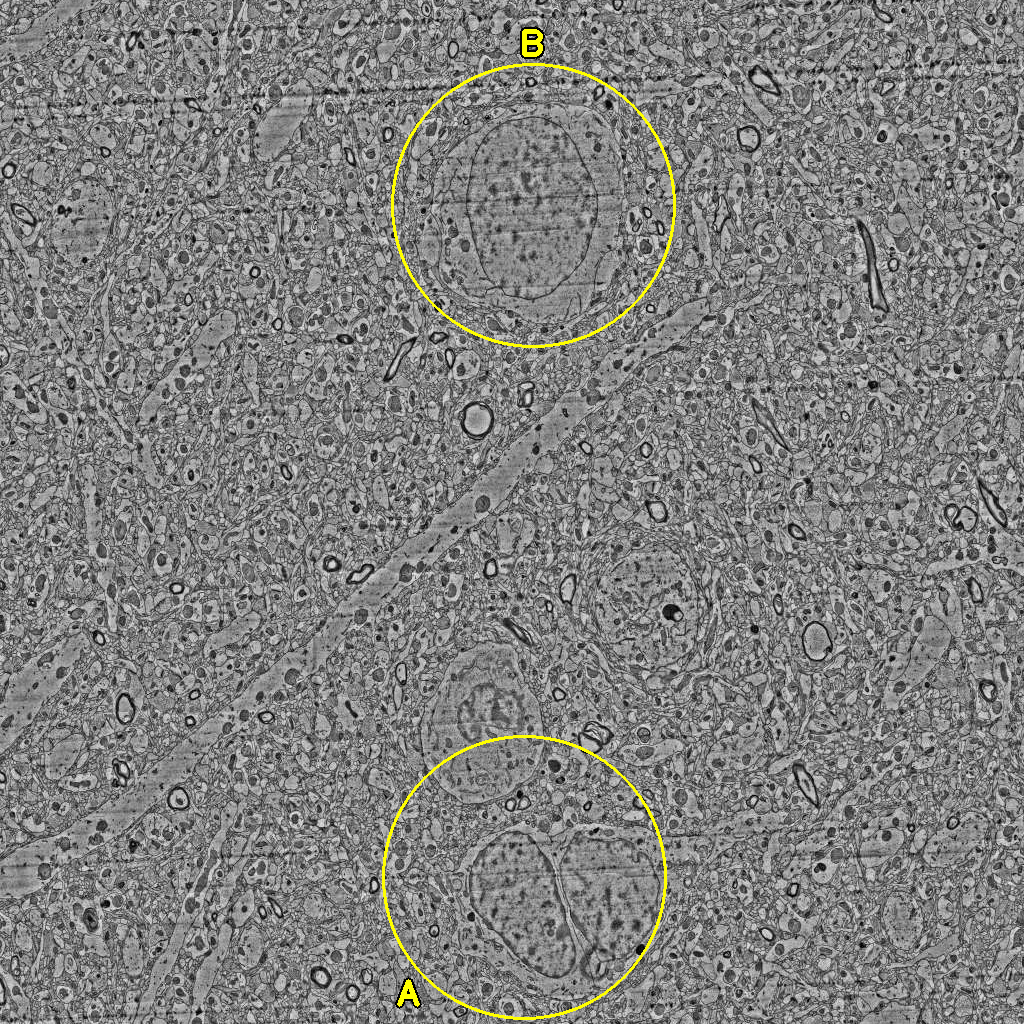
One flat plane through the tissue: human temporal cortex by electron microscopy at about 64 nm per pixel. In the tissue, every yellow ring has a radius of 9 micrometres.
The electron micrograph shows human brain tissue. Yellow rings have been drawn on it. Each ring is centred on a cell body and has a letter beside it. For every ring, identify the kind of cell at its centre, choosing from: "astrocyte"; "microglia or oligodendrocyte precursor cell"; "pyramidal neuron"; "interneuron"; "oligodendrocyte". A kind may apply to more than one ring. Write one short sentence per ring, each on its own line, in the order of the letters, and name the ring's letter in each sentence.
Ring A is centred on a microglial cell or oligodendrocyte precursor cell.
Ring B is centred on a pyramidal neuron.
